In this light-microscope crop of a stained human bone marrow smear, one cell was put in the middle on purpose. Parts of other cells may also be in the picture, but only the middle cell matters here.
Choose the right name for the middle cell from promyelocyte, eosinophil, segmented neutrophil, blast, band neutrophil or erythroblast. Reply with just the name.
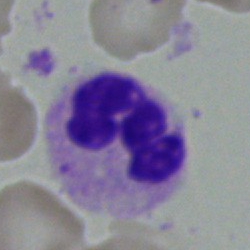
segmented neutrophil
